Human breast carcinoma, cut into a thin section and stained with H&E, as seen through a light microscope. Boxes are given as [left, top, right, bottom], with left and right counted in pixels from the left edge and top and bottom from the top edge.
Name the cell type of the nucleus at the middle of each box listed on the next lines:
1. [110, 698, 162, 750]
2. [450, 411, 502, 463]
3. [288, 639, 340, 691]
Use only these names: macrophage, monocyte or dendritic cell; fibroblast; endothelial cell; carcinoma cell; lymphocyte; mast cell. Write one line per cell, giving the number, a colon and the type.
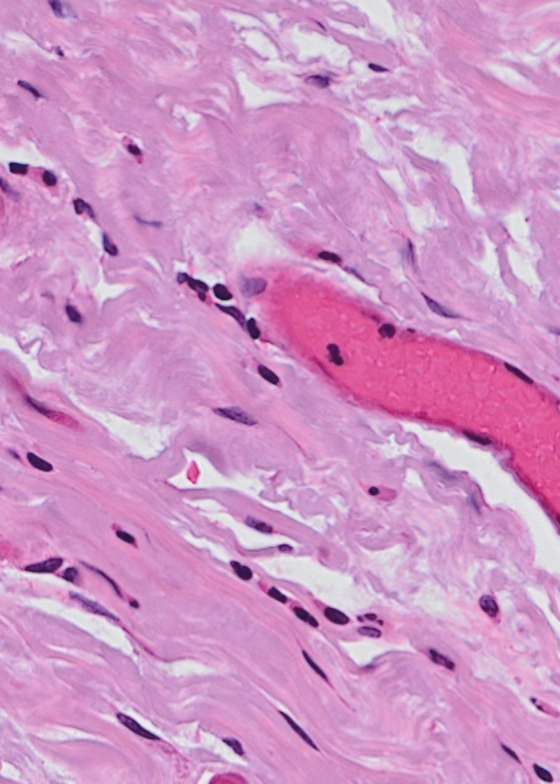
1: fibroblast
2: endothelial cell
3: fibroblast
